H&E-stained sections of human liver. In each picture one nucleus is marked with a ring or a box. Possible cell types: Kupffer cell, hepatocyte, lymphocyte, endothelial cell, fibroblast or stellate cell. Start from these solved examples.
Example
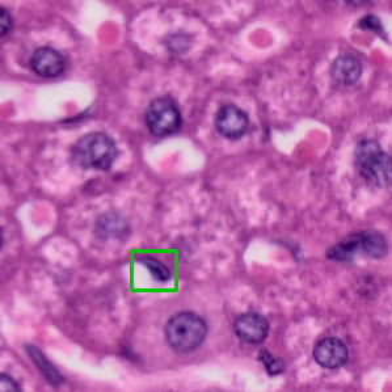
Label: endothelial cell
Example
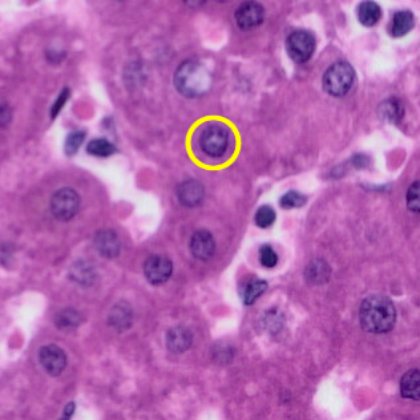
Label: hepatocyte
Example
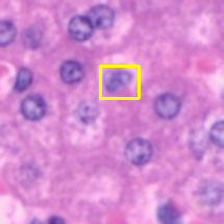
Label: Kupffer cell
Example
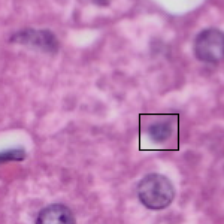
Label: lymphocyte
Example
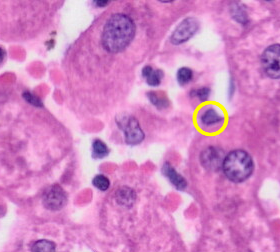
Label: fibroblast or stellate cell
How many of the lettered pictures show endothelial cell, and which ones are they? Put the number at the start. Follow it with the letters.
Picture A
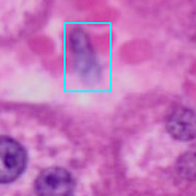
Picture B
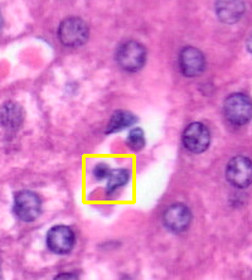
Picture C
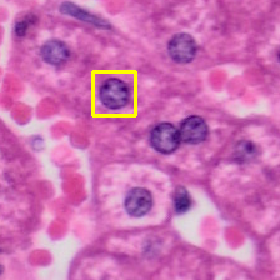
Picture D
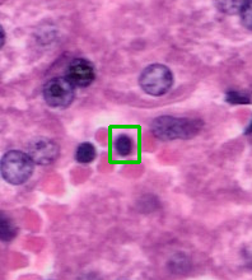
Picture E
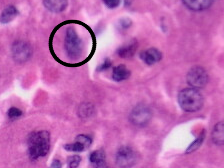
0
